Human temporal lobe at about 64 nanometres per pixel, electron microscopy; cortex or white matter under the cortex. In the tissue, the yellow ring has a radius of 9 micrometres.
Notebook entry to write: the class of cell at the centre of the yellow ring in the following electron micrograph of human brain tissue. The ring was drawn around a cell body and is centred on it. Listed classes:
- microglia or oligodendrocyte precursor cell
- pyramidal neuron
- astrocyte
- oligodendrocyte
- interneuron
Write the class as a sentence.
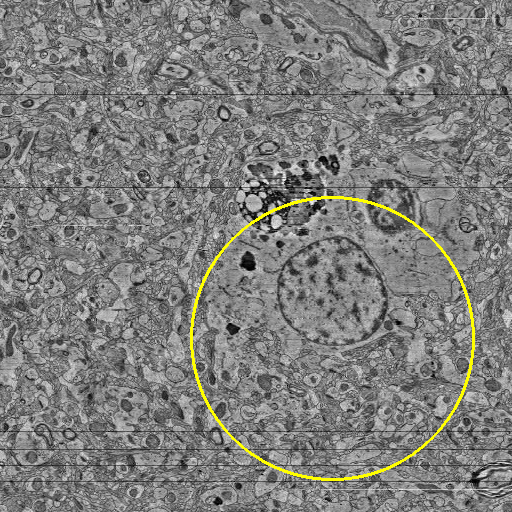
The yellow ring sits on an astrocyte.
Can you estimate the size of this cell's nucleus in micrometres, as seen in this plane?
In this plane, approximately 7 micrometres across.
